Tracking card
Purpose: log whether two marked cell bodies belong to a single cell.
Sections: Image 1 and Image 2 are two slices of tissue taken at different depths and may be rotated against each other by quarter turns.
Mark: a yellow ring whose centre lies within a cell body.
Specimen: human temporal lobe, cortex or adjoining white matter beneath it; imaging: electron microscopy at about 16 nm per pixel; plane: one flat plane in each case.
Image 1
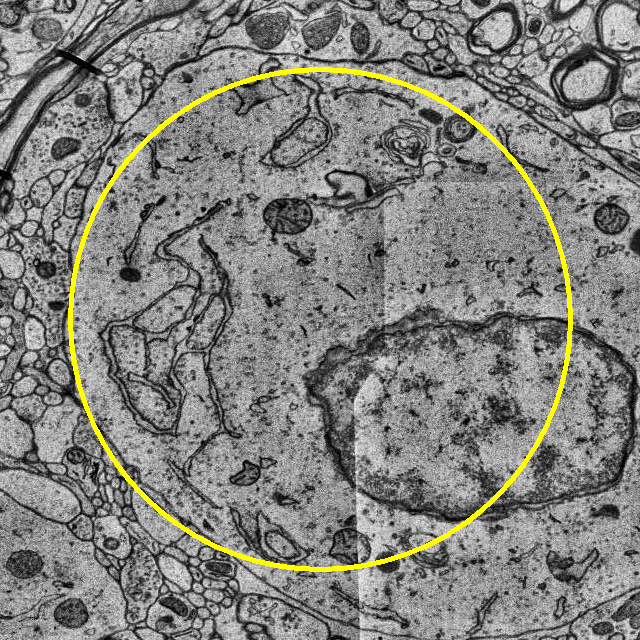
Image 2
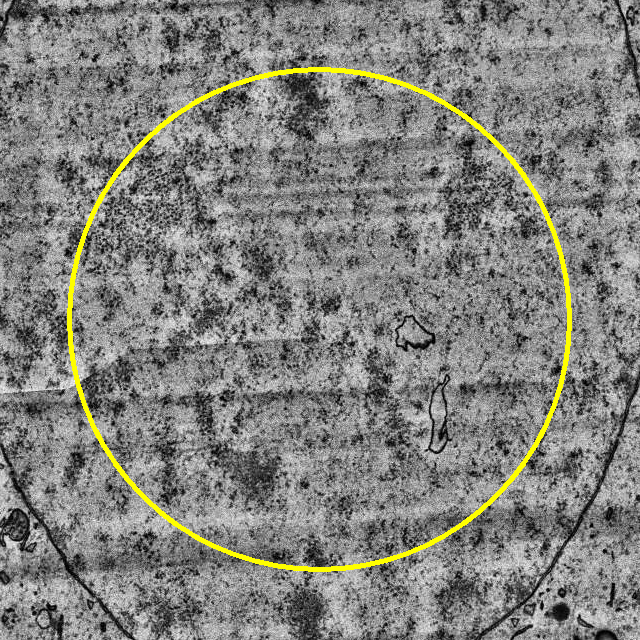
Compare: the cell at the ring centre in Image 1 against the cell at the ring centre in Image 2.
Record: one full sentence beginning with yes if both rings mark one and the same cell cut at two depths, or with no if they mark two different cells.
No, the circled cells number two, not one.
